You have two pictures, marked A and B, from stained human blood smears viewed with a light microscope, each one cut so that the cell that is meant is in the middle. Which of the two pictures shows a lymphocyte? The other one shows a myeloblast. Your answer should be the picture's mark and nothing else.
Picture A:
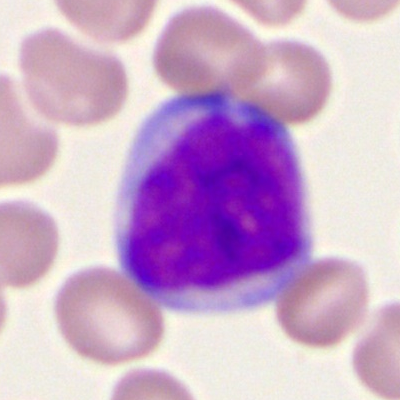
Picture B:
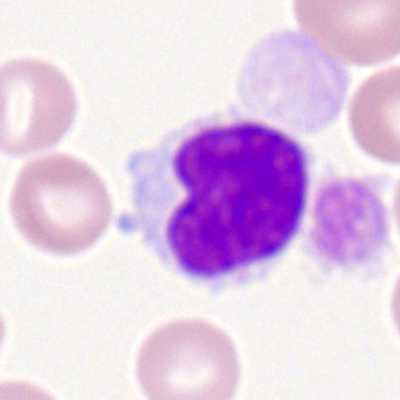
B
